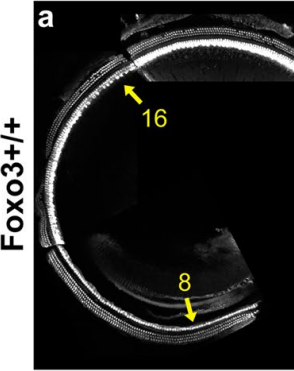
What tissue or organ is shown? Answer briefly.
Cochleae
